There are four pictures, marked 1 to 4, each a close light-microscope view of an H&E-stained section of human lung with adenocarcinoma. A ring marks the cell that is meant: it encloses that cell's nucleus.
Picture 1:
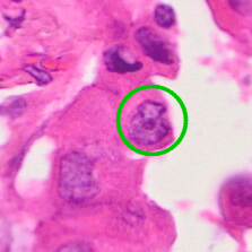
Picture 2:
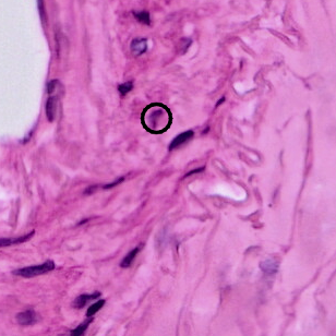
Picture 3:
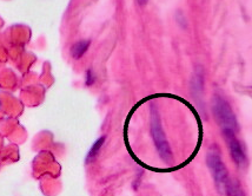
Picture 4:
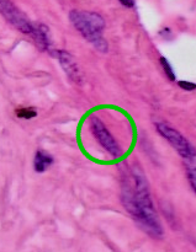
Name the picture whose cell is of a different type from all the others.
1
